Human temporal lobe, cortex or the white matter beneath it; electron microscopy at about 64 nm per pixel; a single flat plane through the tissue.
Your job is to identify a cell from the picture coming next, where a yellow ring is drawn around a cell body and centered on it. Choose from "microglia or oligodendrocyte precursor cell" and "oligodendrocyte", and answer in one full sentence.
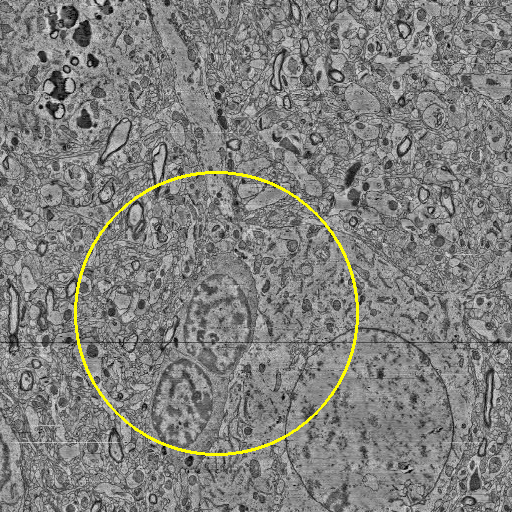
Centered in the yellow ring of the picture is the body of an oligodendrocyte.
